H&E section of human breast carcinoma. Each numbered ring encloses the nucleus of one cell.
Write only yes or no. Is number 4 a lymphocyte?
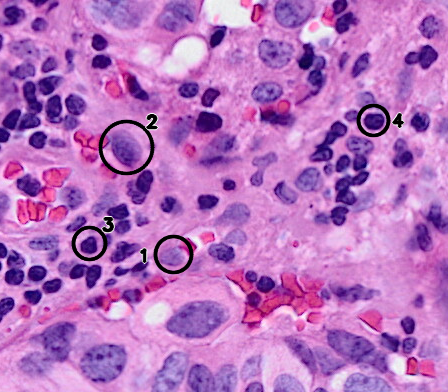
yes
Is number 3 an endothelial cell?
no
